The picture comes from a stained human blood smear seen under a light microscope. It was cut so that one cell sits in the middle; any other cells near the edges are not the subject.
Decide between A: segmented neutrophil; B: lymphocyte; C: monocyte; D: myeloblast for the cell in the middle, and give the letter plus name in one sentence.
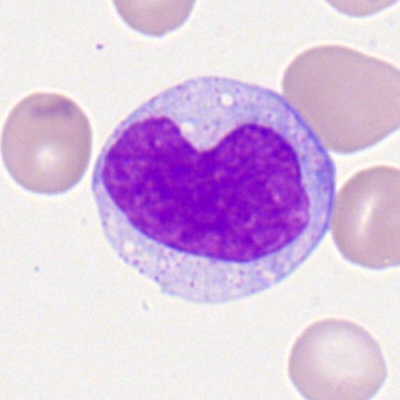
The cell positioned centrally is a monocyte, as given in option C, which is correct.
